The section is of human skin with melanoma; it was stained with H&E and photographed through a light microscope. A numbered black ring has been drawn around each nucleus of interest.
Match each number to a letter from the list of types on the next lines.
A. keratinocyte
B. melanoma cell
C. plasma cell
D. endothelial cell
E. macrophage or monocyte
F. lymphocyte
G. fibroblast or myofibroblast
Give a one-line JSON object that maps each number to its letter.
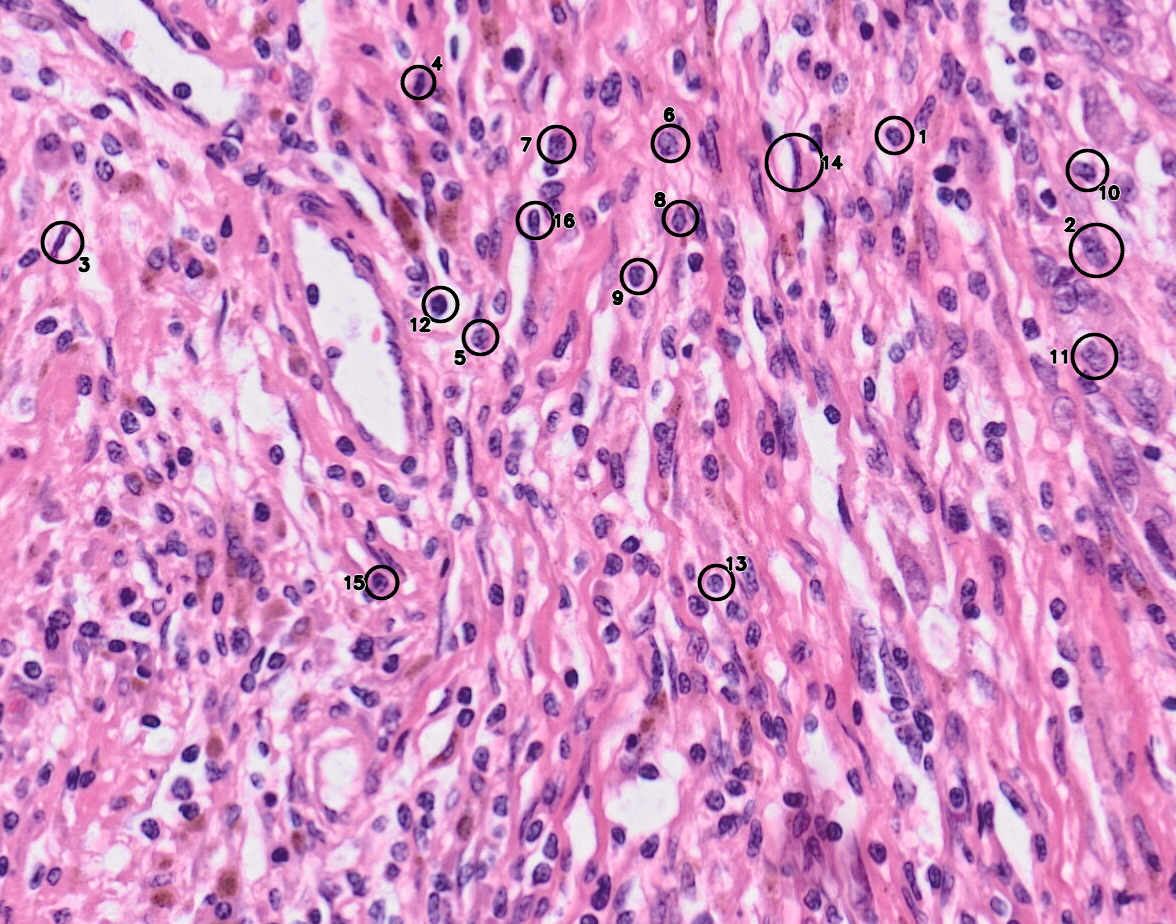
{"1": "F", "2": "B", "3": "G", "4": "C", "5": "F", "6": "F", "7": "C", "8": "F", "9": "F", "10": "F", "11": "B", "12": "F", "13": "F", "14": "G", "15": "C", "16": "F"}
